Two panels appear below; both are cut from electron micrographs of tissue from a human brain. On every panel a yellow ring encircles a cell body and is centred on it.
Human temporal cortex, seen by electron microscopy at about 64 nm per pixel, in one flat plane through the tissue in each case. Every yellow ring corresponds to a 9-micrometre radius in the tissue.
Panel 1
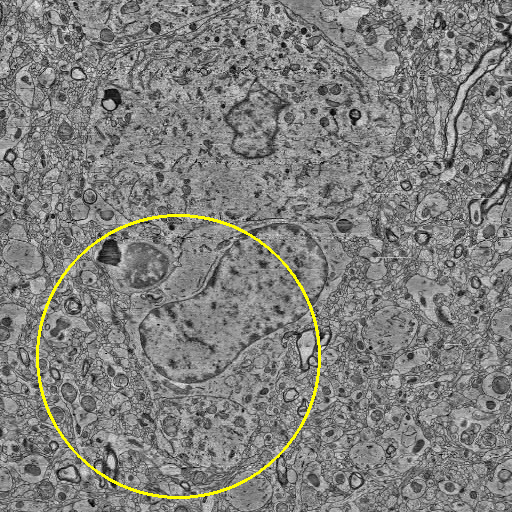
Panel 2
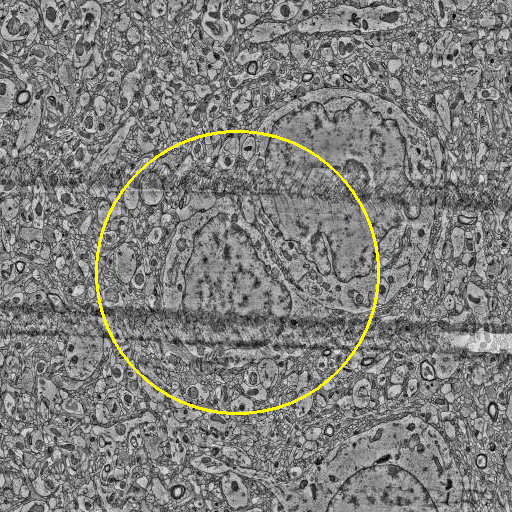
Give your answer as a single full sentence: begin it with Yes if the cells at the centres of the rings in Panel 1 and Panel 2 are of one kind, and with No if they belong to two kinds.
No, the cells in the middle of the rings in Panels 1 and 2 are of two kinds.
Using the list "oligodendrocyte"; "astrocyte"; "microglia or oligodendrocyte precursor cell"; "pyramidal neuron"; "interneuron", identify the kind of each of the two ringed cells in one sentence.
The first is a microglial cell or oligodendrocyte precursor cell and the second is an interneuron.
